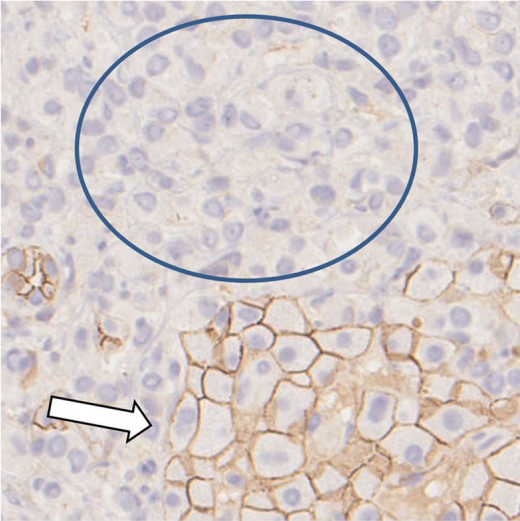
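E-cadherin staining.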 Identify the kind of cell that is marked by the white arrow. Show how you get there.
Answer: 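Normal liver cells. Large polygonal cells with abundant pale cytoplasm. Round central nuclei. Sharp brown outlines along each cell membrane.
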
